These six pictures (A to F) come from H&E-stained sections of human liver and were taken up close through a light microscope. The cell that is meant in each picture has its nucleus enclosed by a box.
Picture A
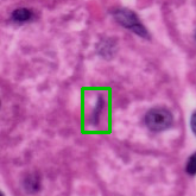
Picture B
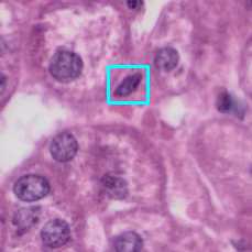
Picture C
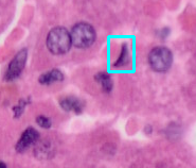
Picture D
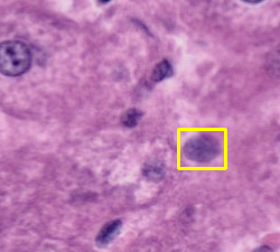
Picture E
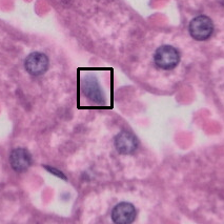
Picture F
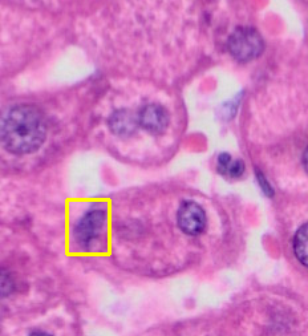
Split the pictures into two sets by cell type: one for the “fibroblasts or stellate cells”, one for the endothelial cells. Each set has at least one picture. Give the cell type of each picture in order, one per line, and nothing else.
endothelial cell
fibroblast or stellate cell
endothelial cell
endothelial cell
endothelial cell
fibroblast or stellate cell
